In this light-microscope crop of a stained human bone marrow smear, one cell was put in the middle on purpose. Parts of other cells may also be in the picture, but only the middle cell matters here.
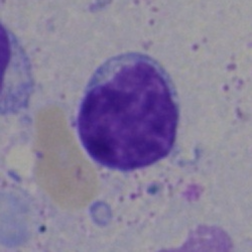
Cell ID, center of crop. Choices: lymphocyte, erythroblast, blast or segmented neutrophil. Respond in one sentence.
Located at the centre of the crop is a lymphocyte.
